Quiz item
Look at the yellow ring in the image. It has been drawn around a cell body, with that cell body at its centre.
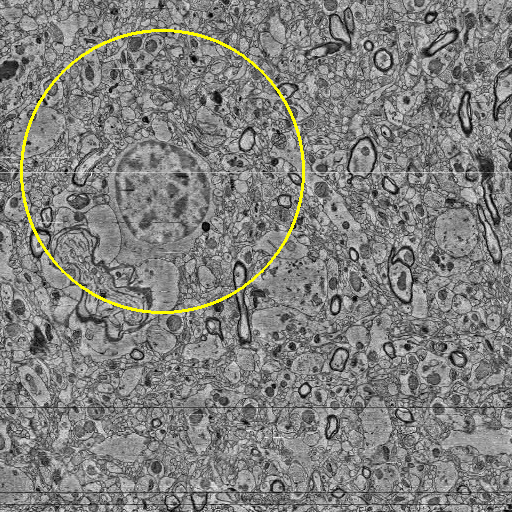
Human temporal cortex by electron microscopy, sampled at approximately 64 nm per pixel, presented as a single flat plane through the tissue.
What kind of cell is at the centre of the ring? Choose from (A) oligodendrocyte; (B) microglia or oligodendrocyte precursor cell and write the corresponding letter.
A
